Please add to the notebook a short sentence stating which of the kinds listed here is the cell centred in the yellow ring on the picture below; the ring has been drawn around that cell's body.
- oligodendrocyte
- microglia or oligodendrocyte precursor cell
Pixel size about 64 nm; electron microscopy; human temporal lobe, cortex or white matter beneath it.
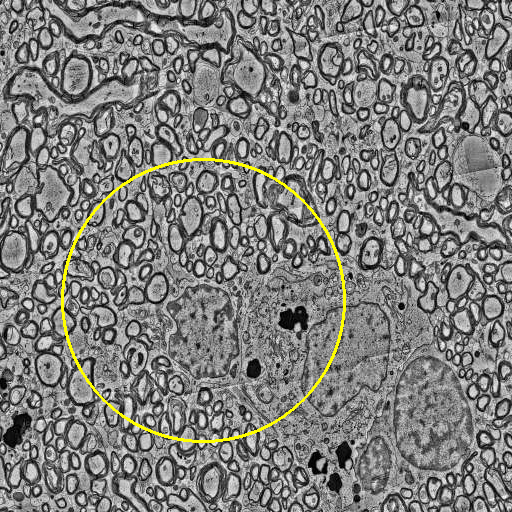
The cell centred in the yellow ring is a microglial cell or oligodendrocyte precursor cell.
